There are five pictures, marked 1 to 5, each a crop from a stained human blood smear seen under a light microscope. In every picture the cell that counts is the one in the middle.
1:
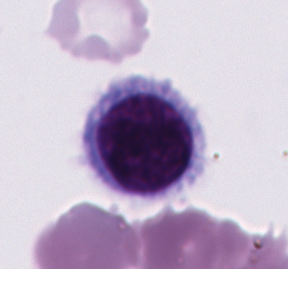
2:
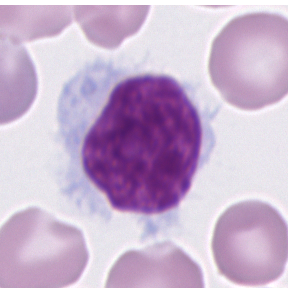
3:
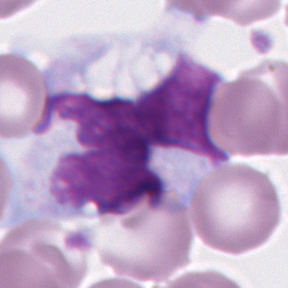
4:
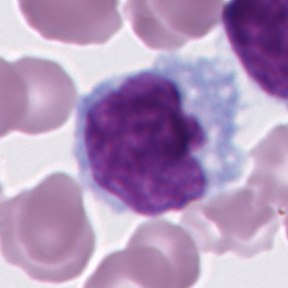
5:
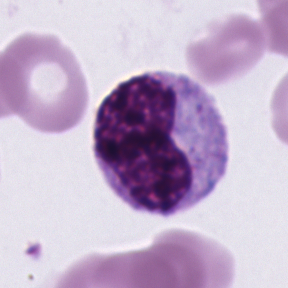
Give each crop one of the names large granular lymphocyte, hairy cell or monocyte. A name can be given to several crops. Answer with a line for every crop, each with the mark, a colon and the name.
1: hairy cell
2: hairy cell
3: monocyte
4: hairy cell
5: monocyte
